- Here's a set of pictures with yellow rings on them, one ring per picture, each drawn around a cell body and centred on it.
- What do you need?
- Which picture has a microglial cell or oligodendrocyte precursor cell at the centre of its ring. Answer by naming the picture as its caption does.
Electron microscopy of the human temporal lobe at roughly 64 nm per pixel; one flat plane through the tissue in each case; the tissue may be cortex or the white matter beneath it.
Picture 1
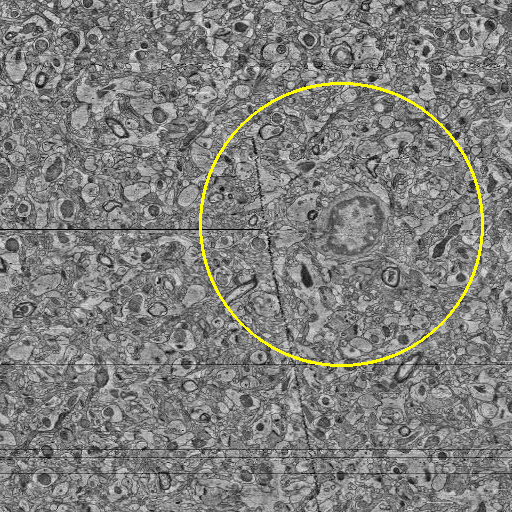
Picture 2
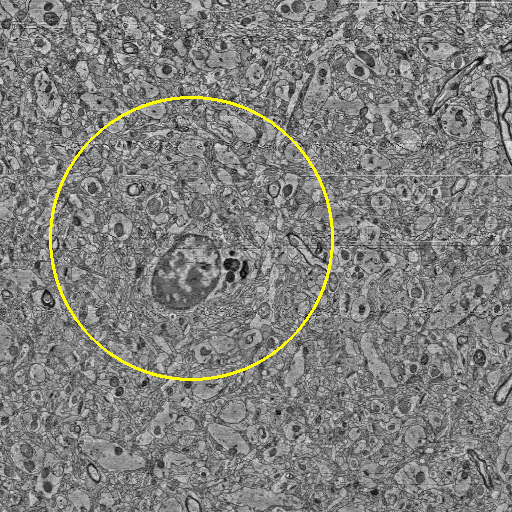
Picture 2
